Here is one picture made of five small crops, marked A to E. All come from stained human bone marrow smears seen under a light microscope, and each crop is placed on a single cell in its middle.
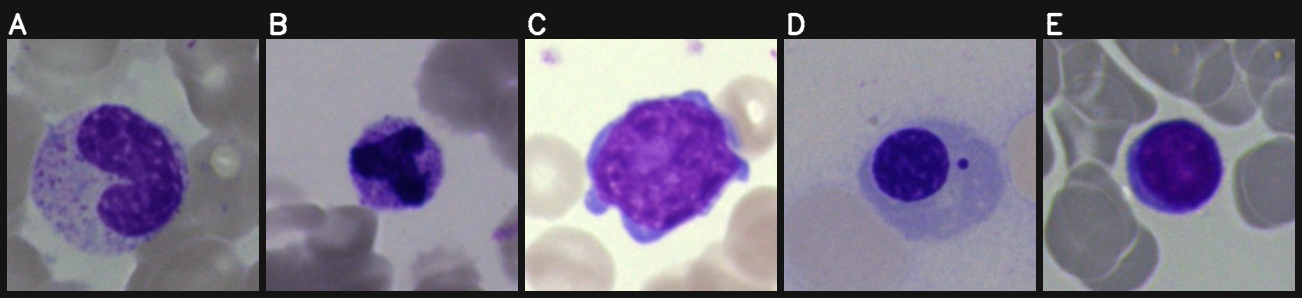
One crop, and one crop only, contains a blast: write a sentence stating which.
Crop C alone, of all the crops, shows a blast.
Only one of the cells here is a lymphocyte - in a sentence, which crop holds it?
In this set, crop E is the one showing a lymphocyte.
